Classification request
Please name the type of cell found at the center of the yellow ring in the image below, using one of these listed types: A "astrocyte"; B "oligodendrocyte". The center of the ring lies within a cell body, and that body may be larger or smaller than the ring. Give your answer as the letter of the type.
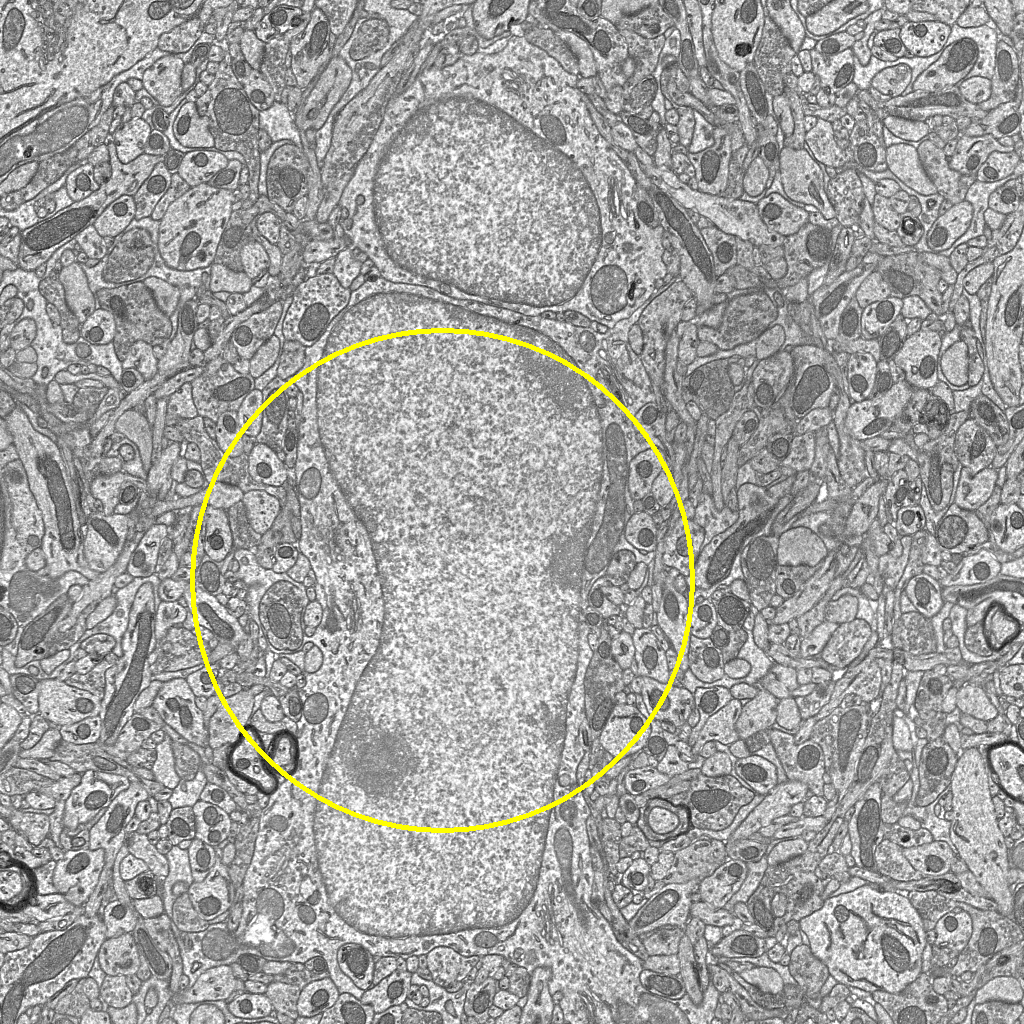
A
